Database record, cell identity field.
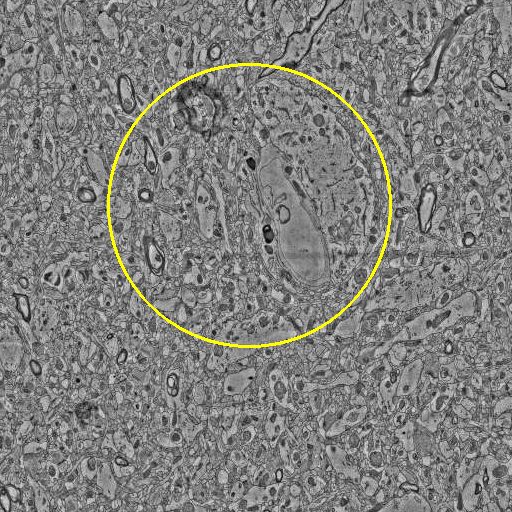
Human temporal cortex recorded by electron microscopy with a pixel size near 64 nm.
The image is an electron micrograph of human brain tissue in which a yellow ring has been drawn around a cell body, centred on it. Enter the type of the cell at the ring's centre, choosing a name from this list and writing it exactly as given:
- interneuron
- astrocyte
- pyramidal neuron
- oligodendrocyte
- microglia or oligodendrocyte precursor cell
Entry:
microglia or oligodendrocyte precursor cell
